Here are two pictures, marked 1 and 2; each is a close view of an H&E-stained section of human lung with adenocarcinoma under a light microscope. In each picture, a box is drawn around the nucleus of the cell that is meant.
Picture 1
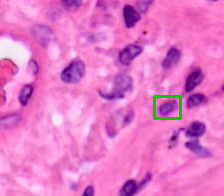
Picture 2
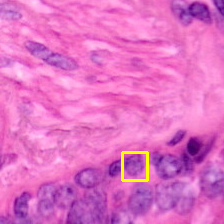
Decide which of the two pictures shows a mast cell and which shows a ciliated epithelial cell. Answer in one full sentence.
In picture 1 the cell is a mast cell; in picture 2, a ciliated epithelial cell.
